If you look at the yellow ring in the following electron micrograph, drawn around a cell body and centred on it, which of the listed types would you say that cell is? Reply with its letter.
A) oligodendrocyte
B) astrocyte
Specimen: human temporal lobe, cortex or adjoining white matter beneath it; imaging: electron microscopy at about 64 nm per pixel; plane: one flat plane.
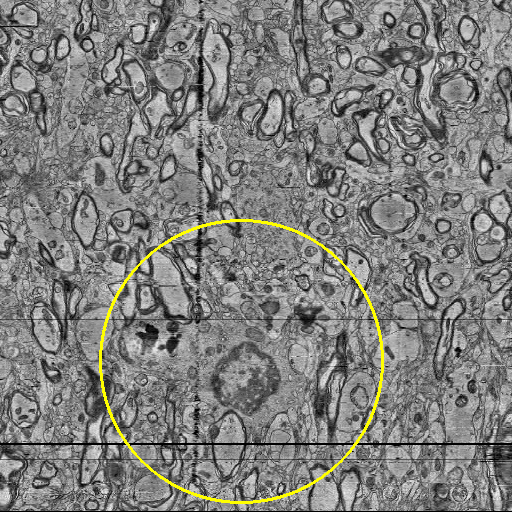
A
